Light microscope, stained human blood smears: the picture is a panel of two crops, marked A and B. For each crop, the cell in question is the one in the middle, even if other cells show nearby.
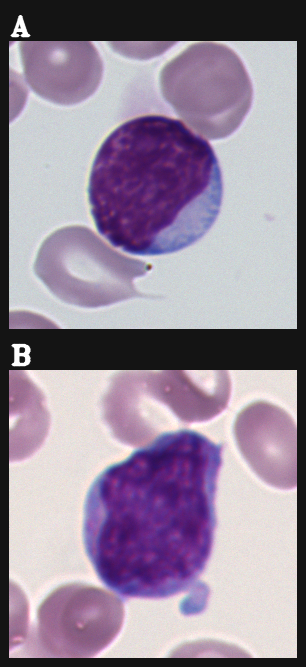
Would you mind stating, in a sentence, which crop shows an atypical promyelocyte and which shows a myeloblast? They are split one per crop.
In short, crop A is a myeloblast and crop B is an atypical promyelocyte.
